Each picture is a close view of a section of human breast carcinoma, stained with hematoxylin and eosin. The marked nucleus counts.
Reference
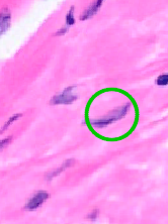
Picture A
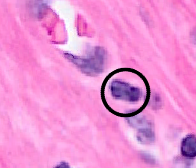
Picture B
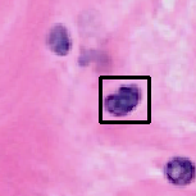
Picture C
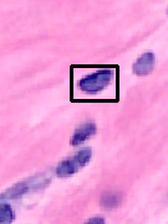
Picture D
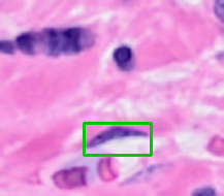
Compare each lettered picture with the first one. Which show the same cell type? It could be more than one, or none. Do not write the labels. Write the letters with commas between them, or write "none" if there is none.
none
